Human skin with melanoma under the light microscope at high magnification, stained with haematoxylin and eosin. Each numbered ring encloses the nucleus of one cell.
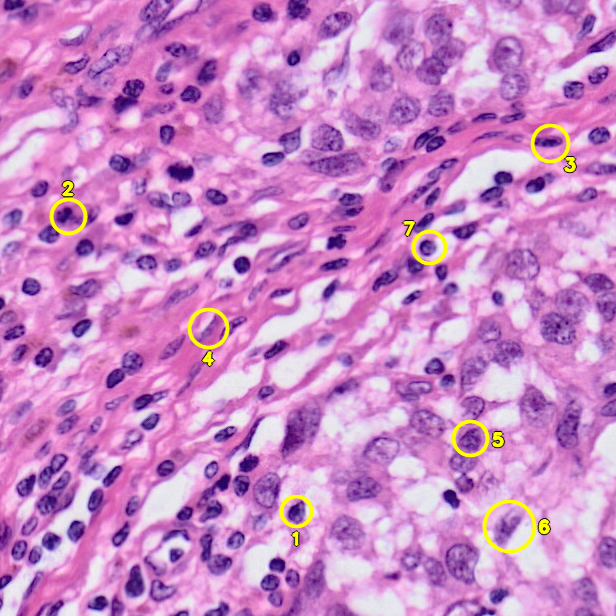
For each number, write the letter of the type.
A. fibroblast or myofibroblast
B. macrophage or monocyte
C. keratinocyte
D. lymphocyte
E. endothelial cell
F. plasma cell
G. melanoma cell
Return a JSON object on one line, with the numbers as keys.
{"1": "D", "2": "F", "3": "D", "4": "A", "5": "G", "6": "G", "7": "D"}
